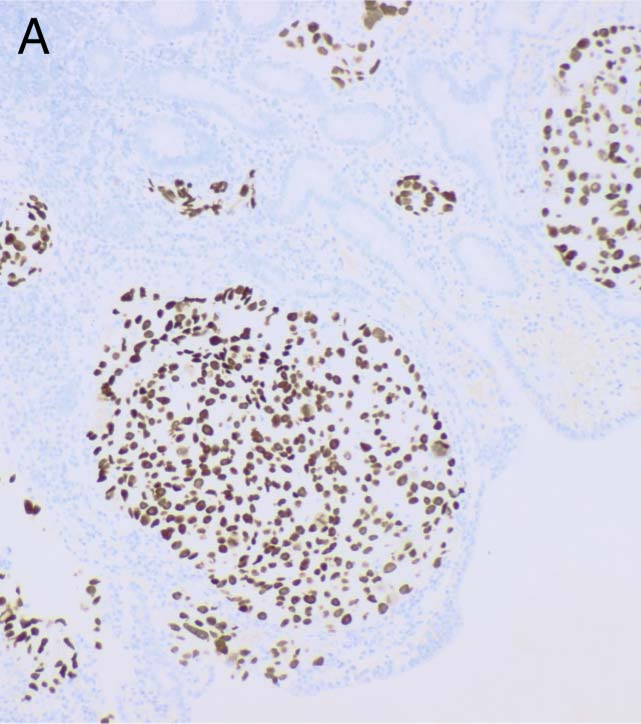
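This is intestinal mucosa with nests of tumor cells lying in the stroma between the glands. The tumor cells form a large rounded cluster and several smaller groups, and their nuclei are strongly brown, oval to irregular and varying in size, packed closely together. The glands around them, cut in various planes, and the stromal cells stay pale blue with no brown, so the stained clusters stand out sharply against the background mucosa. Some small groups sit right beside the glands, as though tucked into narrow spaces in the stroma.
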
